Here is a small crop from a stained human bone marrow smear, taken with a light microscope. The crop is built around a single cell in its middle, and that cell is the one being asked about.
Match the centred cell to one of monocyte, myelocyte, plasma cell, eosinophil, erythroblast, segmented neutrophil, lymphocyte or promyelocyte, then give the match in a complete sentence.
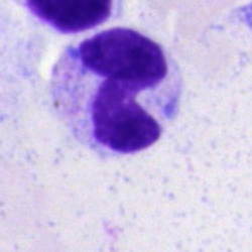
The cell at the central position in this crop is a segmented neutrophil.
